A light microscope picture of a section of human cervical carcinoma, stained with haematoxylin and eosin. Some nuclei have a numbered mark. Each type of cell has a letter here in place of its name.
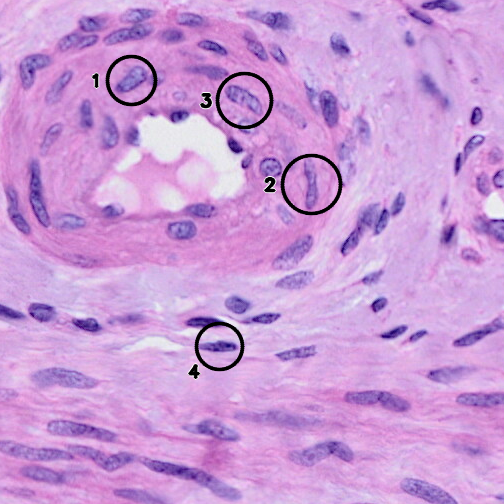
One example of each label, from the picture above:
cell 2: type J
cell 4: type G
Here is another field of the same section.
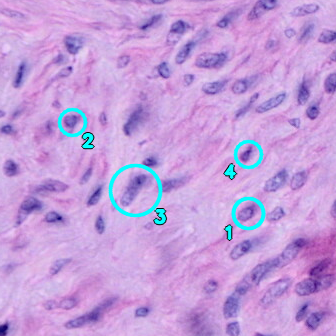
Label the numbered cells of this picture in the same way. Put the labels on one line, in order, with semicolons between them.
type J; type J; type G; type J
